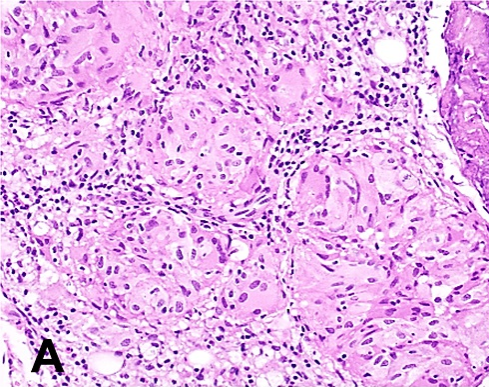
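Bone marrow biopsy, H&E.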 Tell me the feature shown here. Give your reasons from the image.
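Several rounded nodules of pale pink cells with oval nuclei are packed side by side. The nodules are rimmed by small dark round lymphocyte-like cells. No central necrotic debris is seen within the nodules.
Conclusion: non-necrotizing granulomas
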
